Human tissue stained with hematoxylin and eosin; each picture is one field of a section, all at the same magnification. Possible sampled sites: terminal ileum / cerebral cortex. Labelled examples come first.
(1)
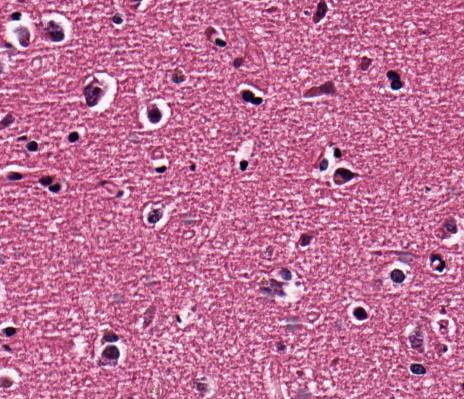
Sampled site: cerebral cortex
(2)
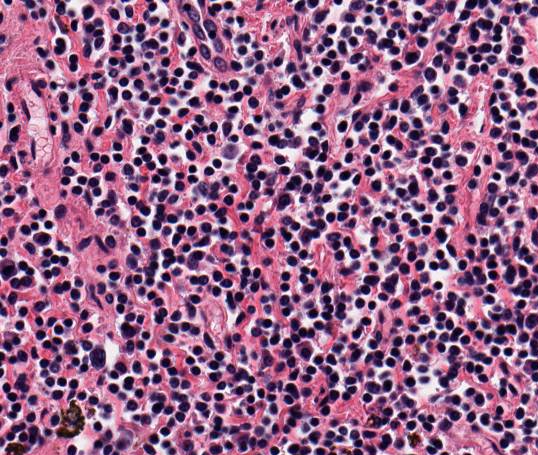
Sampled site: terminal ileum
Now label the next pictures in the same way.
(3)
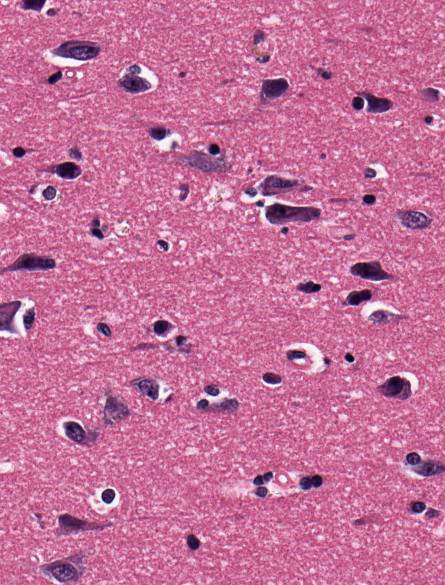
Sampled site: cerebral cortex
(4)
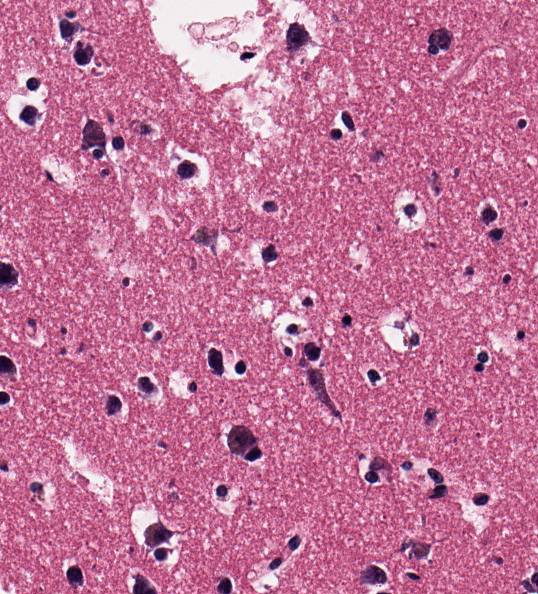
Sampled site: cerebral cortex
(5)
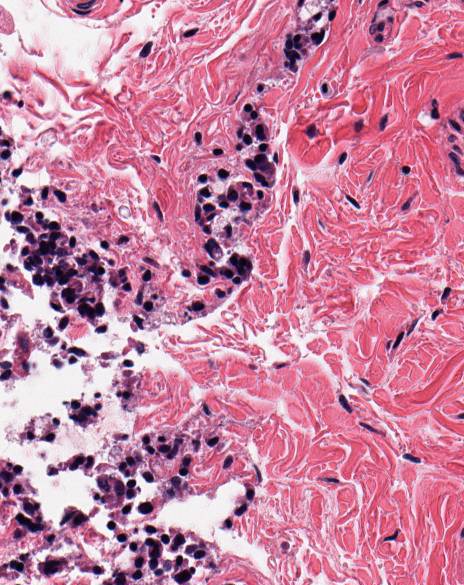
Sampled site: terminal ileum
